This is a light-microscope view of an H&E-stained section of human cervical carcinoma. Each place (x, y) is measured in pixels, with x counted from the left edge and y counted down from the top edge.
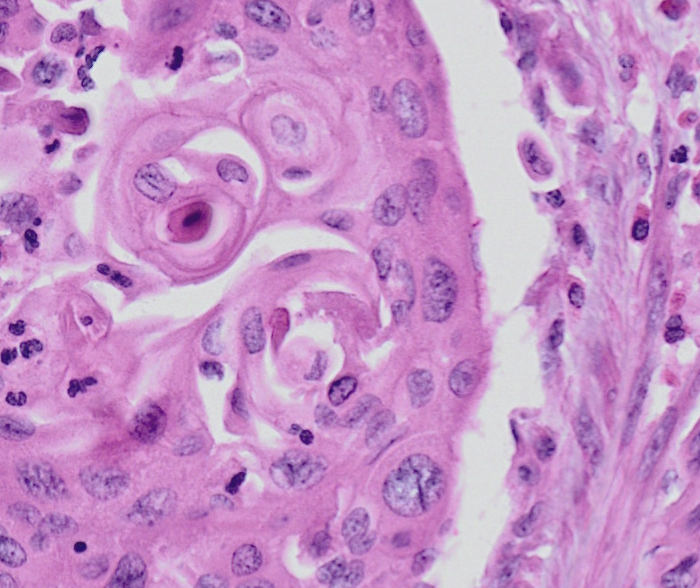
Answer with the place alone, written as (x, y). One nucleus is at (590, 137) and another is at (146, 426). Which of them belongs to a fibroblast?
(590, 137)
